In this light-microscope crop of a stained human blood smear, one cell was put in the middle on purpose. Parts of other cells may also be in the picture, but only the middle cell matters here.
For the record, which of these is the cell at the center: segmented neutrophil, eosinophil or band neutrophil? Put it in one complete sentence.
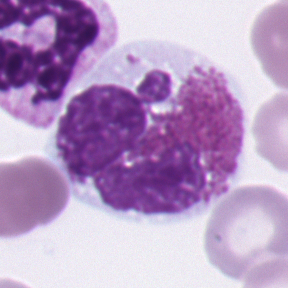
Whatever else lies nearby, the middle cell is an eosinophil.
